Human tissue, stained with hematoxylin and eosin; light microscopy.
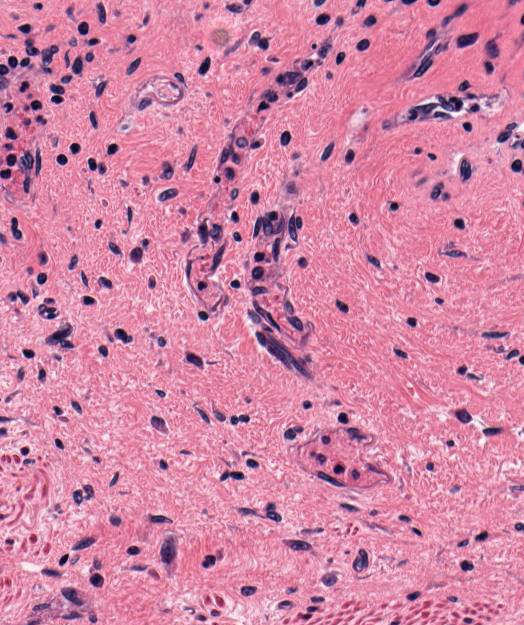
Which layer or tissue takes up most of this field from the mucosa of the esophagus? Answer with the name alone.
loose connective tissue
